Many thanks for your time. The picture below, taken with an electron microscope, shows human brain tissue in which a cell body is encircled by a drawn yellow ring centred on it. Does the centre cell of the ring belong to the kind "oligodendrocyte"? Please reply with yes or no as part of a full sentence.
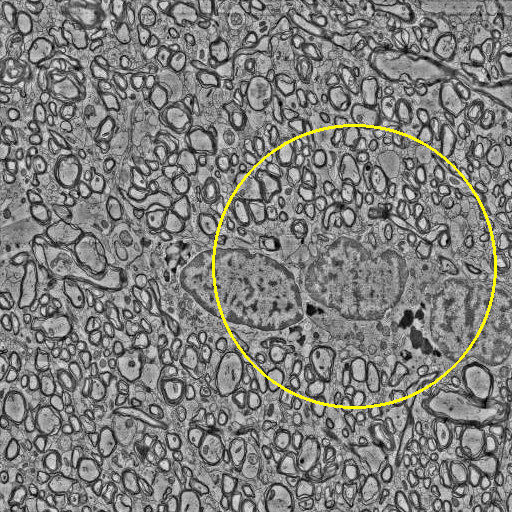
Yes, in the picture the cell at the ring's centre is of the kind you named.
